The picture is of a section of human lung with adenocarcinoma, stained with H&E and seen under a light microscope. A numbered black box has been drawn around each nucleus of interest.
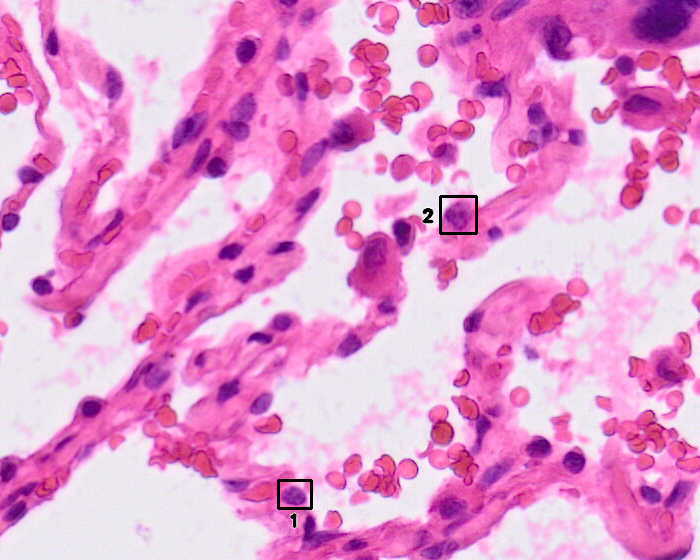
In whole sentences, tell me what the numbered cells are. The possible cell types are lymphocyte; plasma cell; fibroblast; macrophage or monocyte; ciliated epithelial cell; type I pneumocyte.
Cell 1 is a type I pneumocyte. Cell 2 is a macrophage or monocyte.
